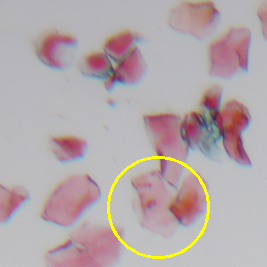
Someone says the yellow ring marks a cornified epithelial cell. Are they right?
They are right: it is a cornified epithelial cell.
